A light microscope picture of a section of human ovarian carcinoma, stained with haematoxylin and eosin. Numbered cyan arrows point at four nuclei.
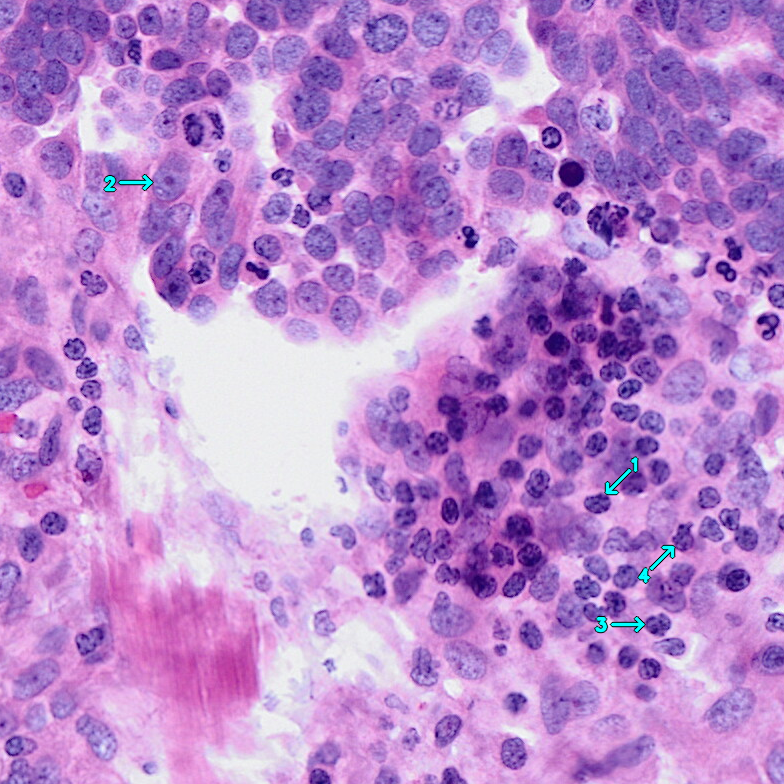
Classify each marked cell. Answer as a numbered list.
1. lymphocyte
2. carcinoma cell
3. lymphocyte
4. lymphocyte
